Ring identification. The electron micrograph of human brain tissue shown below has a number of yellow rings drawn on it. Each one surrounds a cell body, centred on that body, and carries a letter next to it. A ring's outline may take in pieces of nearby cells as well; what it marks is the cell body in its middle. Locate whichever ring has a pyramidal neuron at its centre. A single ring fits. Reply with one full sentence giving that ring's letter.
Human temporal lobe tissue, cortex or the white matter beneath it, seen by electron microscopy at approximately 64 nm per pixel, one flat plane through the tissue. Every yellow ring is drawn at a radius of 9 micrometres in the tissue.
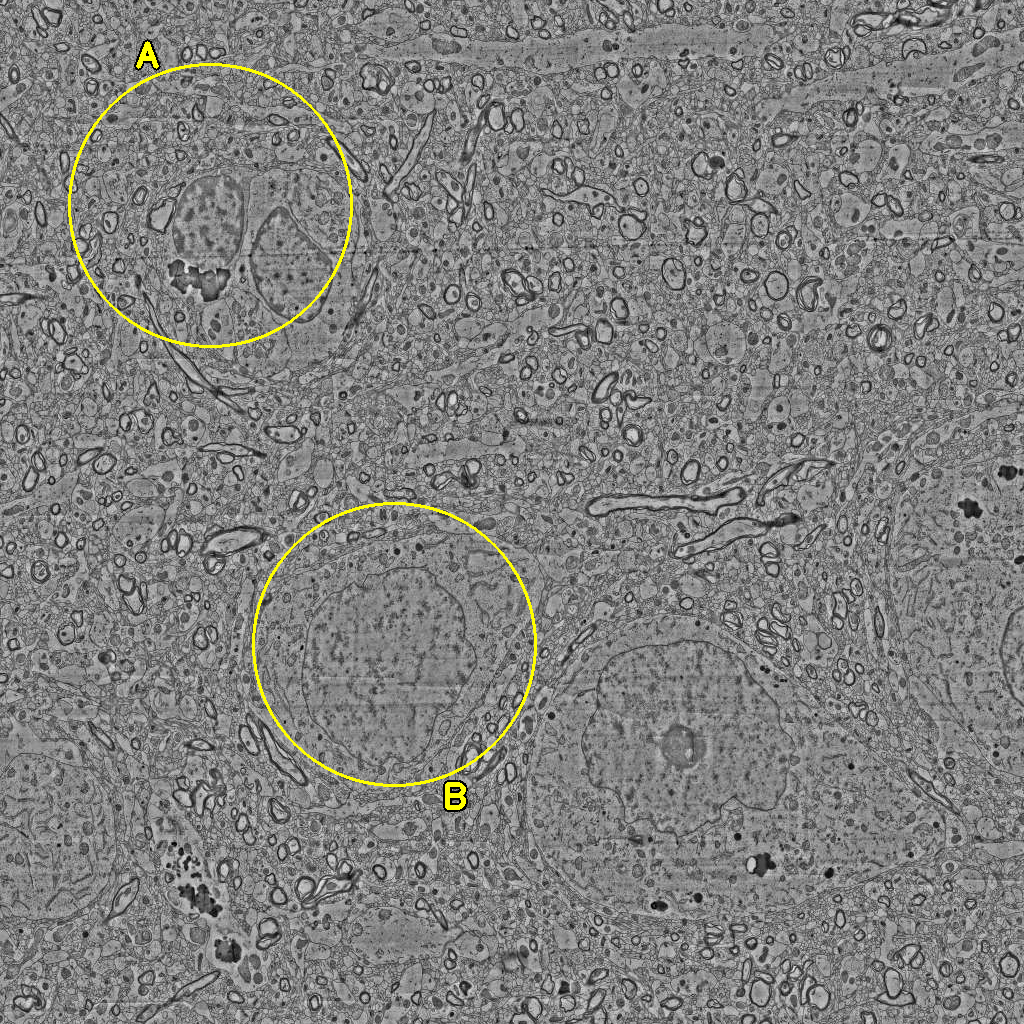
The letter B belongs to the ring centred on a cell of that kind.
